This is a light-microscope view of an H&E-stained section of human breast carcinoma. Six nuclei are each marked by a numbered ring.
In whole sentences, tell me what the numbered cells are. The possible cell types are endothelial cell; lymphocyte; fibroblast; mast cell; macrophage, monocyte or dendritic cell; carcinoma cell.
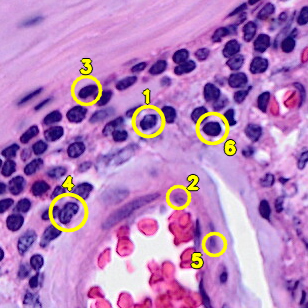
Cell 1 is a lymphocyte, cell 2 is an endothelial cell, cell 3 is a lymphocyte, cell 4 is a lymphocyte, cell 5 is an endothelial cell and cell 6 is a lymphocyte.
